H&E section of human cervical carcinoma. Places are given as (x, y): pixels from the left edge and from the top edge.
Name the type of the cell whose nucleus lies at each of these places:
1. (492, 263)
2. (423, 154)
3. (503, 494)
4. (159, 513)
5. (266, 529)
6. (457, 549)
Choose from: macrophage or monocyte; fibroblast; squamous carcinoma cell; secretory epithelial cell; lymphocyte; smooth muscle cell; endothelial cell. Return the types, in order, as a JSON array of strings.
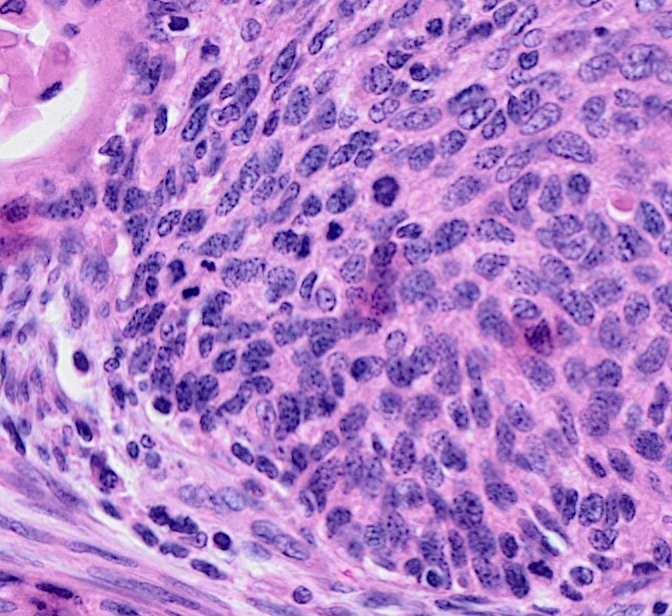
["squamous carcinoma cell", "squamous carcinoma cell", "squamous carcinoma cell", "lymphocyte", "endothelial cell", "squamous carcinoma cell"]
